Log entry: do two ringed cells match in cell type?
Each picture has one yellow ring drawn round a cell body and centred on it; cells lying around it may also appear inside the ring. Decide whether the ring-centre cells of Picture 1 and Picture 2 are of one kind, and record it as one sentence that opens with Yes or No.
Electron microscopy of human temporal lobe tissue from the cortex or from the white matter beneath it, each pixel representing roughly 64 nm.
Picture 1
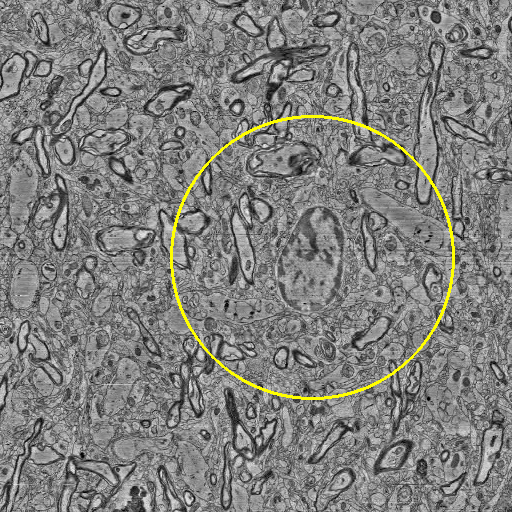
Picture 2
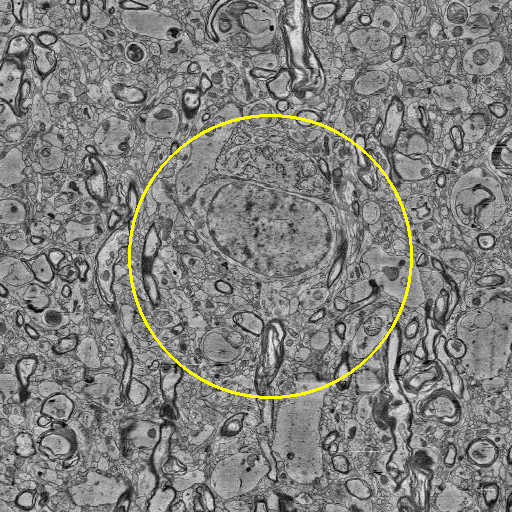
Yes, the cells at the ring centres of the two pictures belong to one kind.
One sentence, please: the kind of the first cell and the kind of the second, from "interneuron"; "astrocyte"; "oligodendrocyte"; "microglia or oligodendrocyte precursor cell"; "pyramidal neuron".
Each one of the two ringed cells is a microglial cell or oligodendrocyte precursor cell.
